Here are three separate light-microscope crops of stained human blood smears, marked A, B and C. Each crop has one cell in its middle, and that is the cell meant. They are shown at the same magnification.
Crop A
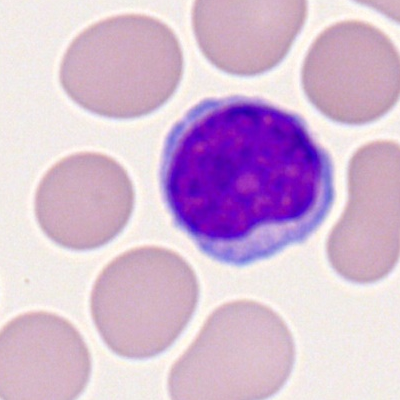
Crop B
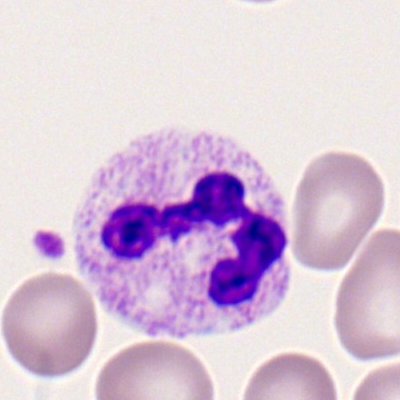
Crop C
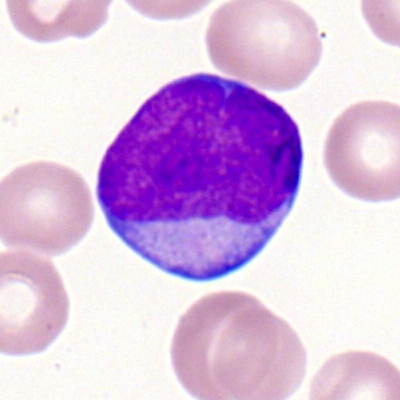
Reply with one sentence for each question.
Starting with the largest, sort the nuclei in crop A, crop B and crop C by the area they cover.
From the largest down, the order is C, A, B.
